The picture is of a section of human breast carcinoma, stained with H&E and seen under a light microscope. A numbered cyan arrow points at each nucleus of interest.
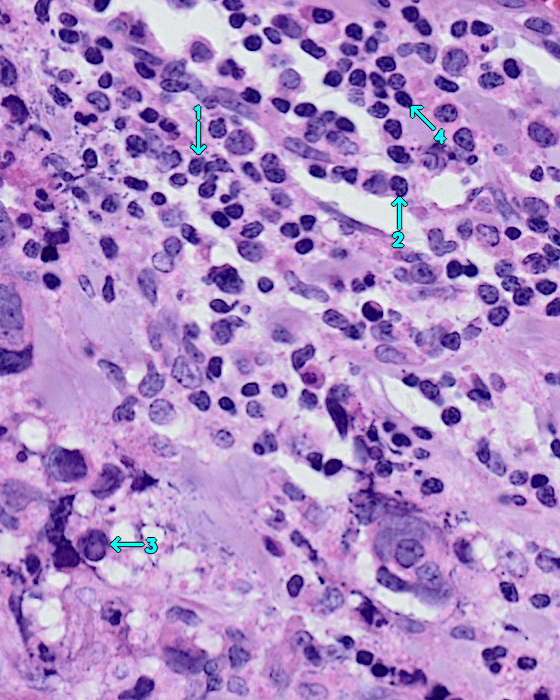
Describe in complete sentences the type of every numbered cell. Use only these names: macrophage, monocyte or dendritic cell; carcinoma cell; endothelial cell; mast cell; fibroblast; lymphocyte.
Cell 1 is a lymphocyte, cell 2 is a lymphocyte, cell 3 is a carcinoma cell and cell 4 is a lymphocyte.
